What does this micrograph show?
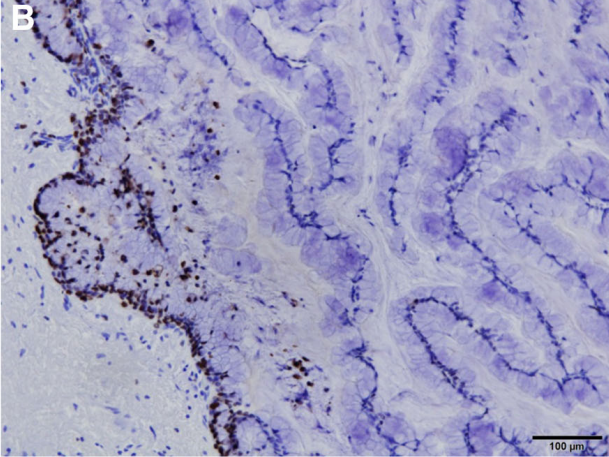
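This shows mucin-producing columnar epithelium in folded strips, counterstained blue. The cells have tall, pale mucin-filled cytoplasm with small dark nuclei lined up at their bases. Many nuclei along one stretch of the epithelium at the left edge are stained dark brown. Scattered brown nuclei also lie in the epithelium a little further in. The folds further to the right have only blue nuclei. Loose pale stroma lies outside the epithelium at the left.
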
